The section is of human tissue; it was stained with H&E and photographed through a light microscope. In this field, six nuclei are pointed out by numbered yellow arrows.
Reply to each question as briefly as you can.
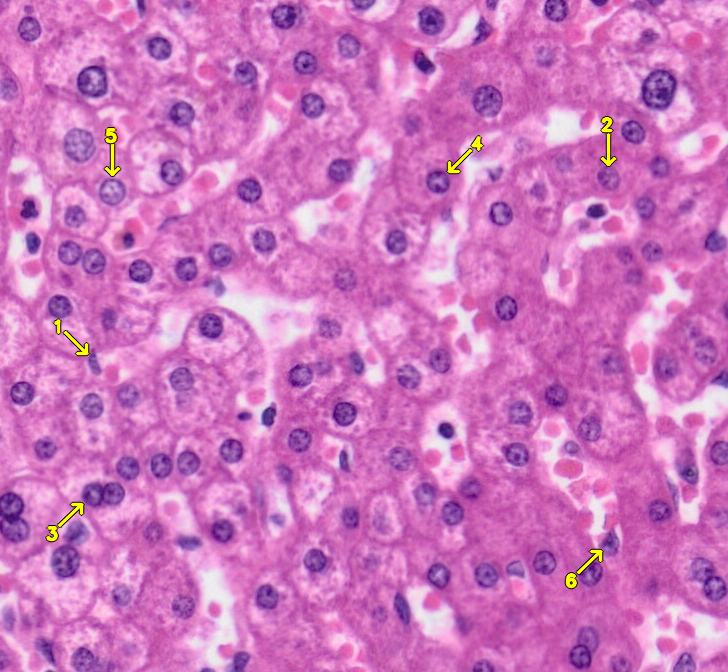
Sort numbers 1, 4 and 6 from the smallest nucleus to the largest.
1, 6, 4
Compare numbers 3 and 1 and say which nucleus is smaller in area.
1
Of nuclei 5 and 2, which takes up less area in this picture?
2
